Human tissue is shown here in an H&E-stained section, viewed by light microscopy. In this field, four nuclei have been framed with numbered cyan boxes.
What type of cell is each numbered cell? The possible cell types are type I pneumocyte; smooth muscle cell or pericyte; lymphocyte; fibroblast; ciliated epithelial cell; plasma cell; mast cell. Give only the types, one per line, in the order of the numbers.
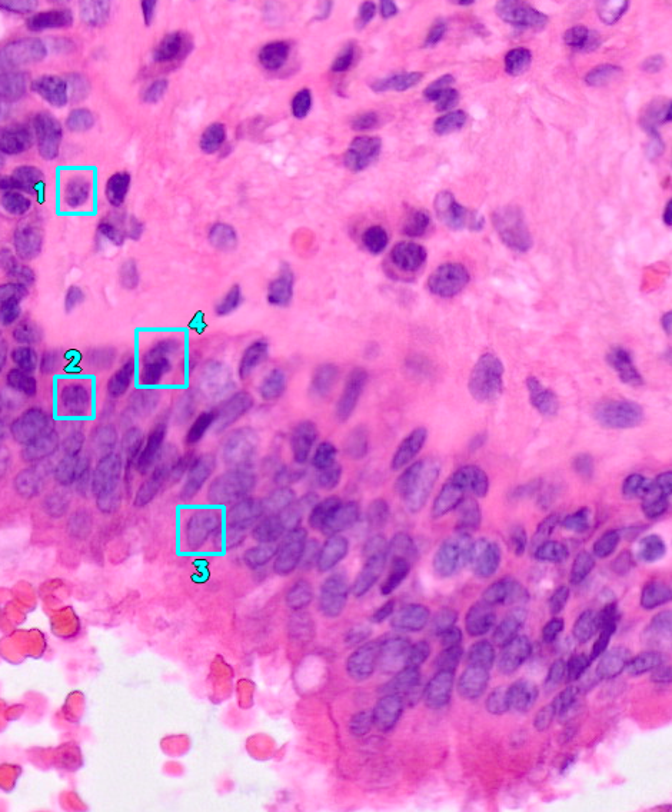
lymphocyte
ciliated epithelial cell
ciliated epithelial cell
ciliated epithelial cell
